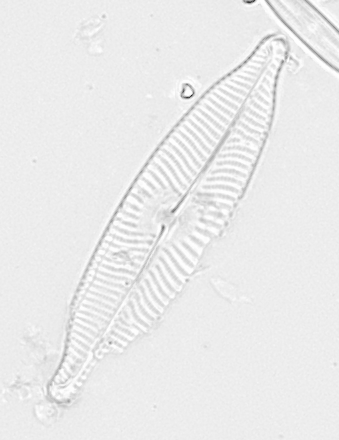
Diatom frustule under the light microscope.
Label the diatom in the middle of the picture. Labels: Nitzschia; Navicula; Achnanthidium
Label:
Navicula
